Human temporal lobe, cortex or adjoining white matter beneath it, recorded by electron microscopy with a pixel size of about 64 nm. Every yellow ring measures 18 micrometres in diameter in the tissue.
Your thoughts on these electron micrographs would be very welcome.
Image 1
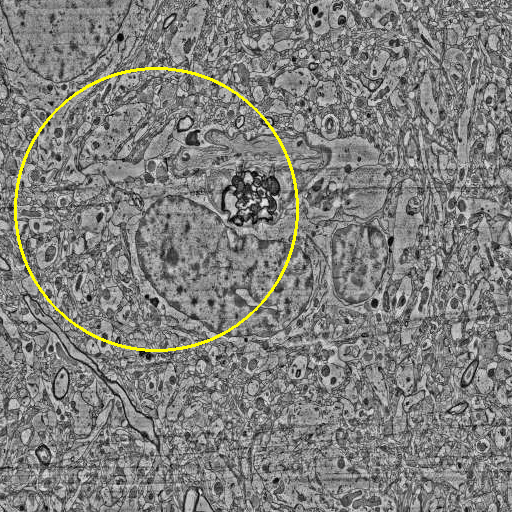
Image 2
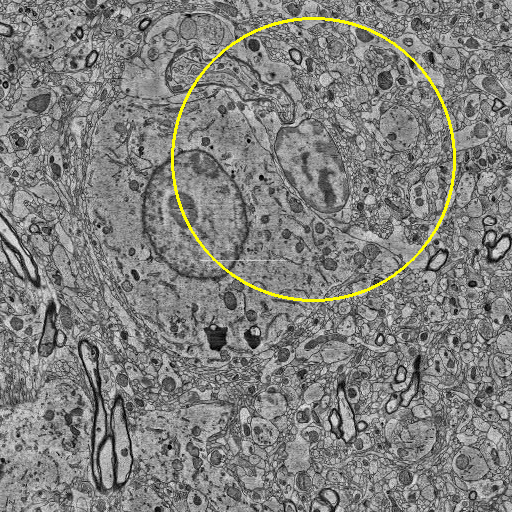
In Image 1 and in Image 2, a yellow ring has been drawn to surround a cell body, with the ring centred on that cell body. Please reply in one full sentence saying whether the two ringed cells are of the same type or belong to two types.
The ringed cells in Image 1 and Image 2 are of the same type.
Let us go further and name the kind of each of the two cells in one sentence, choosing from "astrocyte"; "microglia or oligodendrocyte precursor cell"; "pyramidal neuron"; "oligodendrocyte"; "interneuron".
In both pictures the ring is centred on a microglial cell or oligodendrocyte precursor cell.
